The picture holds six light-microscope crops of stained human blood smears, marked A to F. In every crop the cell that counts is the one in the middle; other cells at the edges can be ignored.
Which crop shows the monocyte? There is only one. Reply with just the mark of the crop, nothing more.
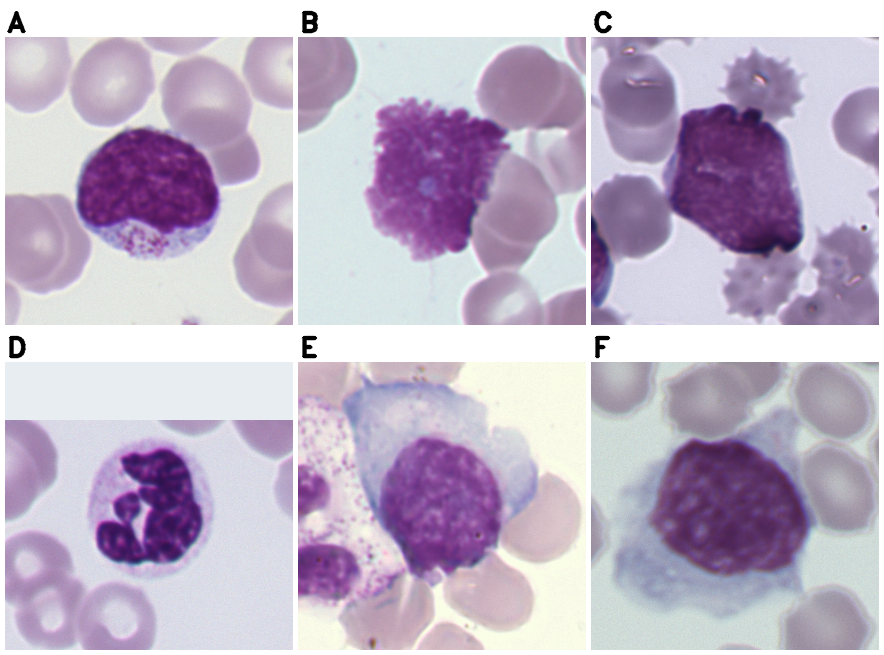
F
